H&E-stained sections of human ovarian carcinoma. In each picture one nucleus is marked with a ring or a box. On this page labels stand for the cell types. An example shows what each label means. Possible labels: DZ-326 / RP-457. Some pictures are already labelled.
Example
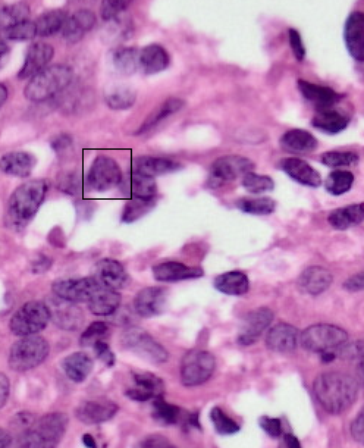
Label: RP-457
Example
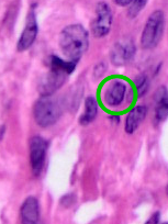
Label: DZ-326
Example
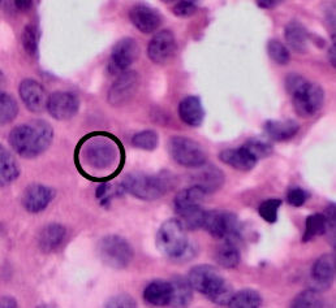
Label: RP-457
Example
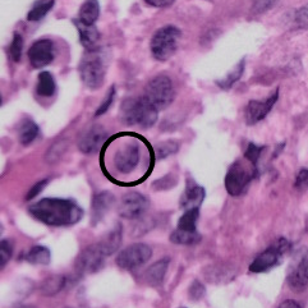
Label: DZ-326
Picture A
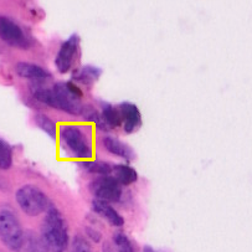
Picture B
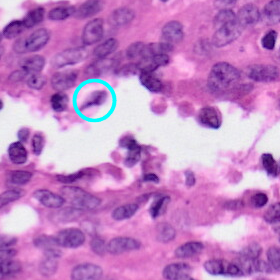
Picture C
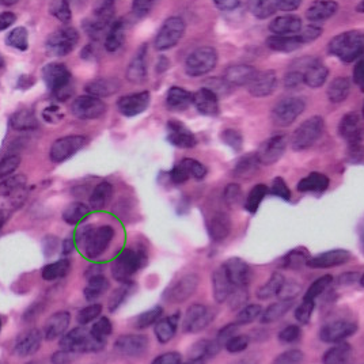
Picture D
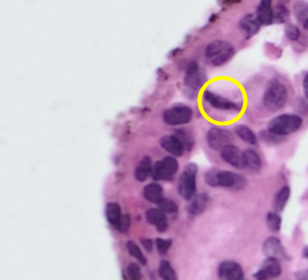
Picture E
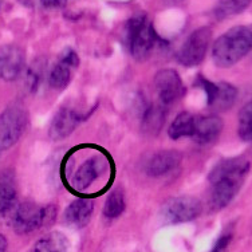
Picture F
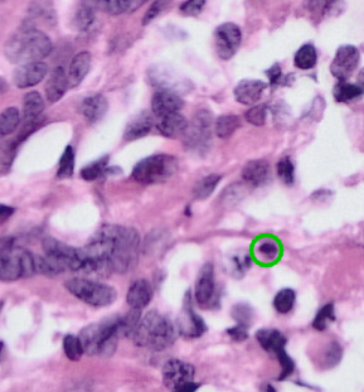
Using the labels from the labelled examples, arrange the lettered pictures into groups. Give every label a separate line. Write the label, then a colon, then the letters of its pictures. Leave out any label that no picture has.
DZ-326: B, D, E, F
RP-457: A, C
